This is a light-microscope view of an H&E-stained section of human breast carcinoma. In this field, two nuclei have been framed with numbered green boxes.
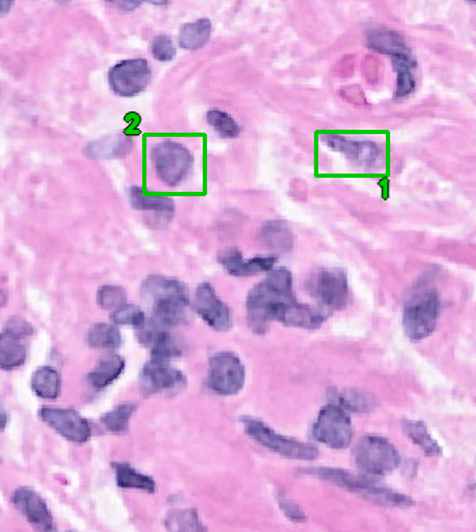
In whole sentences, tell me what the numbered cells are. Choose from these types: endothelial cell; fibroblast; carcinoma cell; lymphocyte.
Cell 1 is a fibroblast. Cell 2 is a carcinoma cell.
